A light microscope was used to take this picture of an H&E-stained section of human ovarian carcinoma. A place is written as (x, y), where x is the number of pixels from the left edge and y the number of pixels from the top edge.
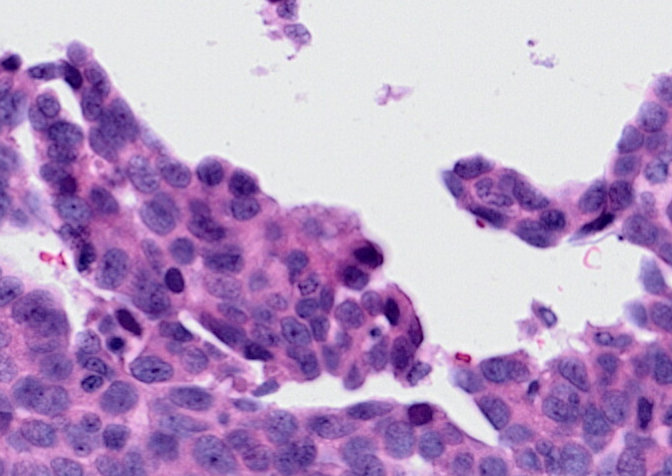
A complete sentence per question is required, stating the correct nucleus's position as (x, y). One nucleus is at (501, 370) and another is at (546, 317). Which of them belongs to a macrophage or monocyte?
The nucleus of a macrophage or monocyte is the one at (546, 317).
